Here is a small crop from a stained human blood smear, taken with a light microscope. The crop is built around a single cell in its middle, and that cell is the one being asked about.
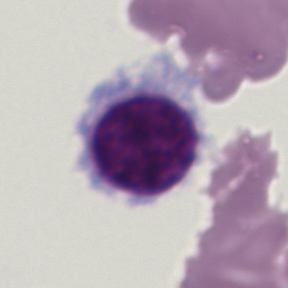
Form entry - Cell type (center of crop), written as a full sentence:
For this crop, the central cell is a hairy cell.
